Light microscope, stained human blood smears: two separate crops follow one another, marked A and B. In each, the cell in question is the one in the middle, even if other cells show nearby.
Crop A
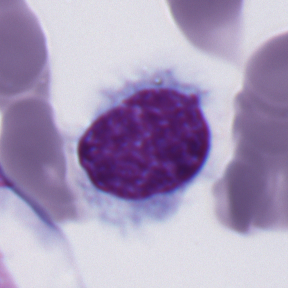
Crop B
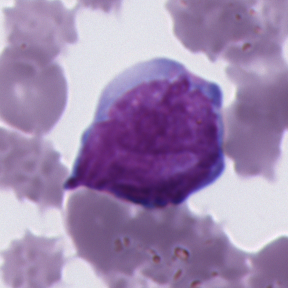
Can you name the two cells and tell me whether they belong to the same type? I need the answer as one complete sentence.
No, crop A corresponds to a hairy cell, while crop B corresponds to a blast.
